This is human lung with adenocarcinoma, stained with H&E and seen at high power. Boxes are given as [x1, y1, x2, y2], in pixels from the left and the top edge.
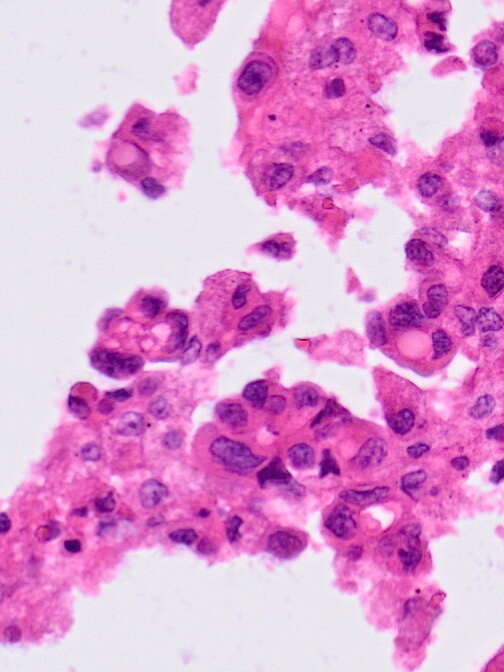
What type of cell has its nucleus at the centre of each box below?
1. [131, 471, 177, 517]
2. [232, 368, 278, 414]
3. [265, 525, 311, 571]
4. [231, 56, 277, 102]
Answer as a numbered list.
1. macrophage or monocyte
2. carcinoma cell
3. carcinoma cell
4. carcinoma cell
